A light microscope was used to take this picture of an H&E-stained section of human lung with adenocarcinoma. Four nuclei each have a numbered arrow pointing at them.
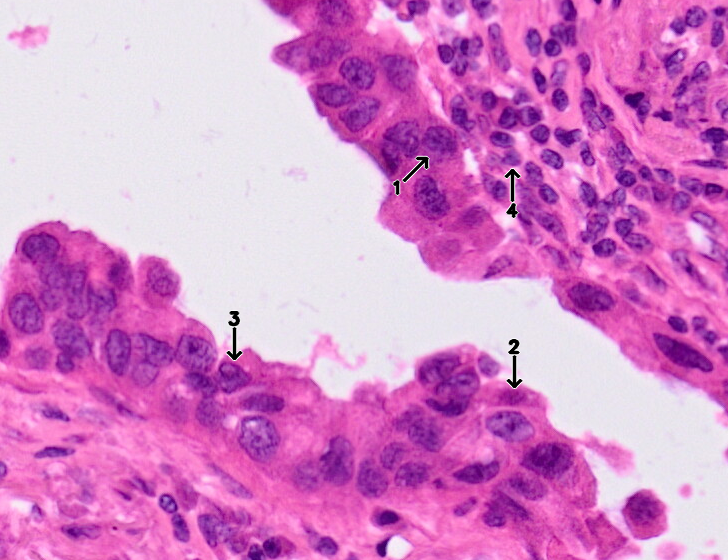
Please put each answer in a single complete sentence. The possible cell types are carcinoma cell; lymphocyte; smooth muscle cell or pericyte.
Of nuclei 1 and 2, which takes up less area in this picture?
Nucleus 2 covers less area, with nucleus 1 about 2 times as large.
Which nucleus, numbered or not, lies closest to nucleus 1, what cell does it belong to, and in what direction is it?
The closest nucleus belongs to a lymphocyte and sits above and to the right of nucleus 1.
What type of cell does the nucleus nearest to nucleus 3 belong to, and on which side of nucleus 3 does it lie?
The nearest nucleus is that of a carcinoma cell and lies to the left of nucleus 3.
